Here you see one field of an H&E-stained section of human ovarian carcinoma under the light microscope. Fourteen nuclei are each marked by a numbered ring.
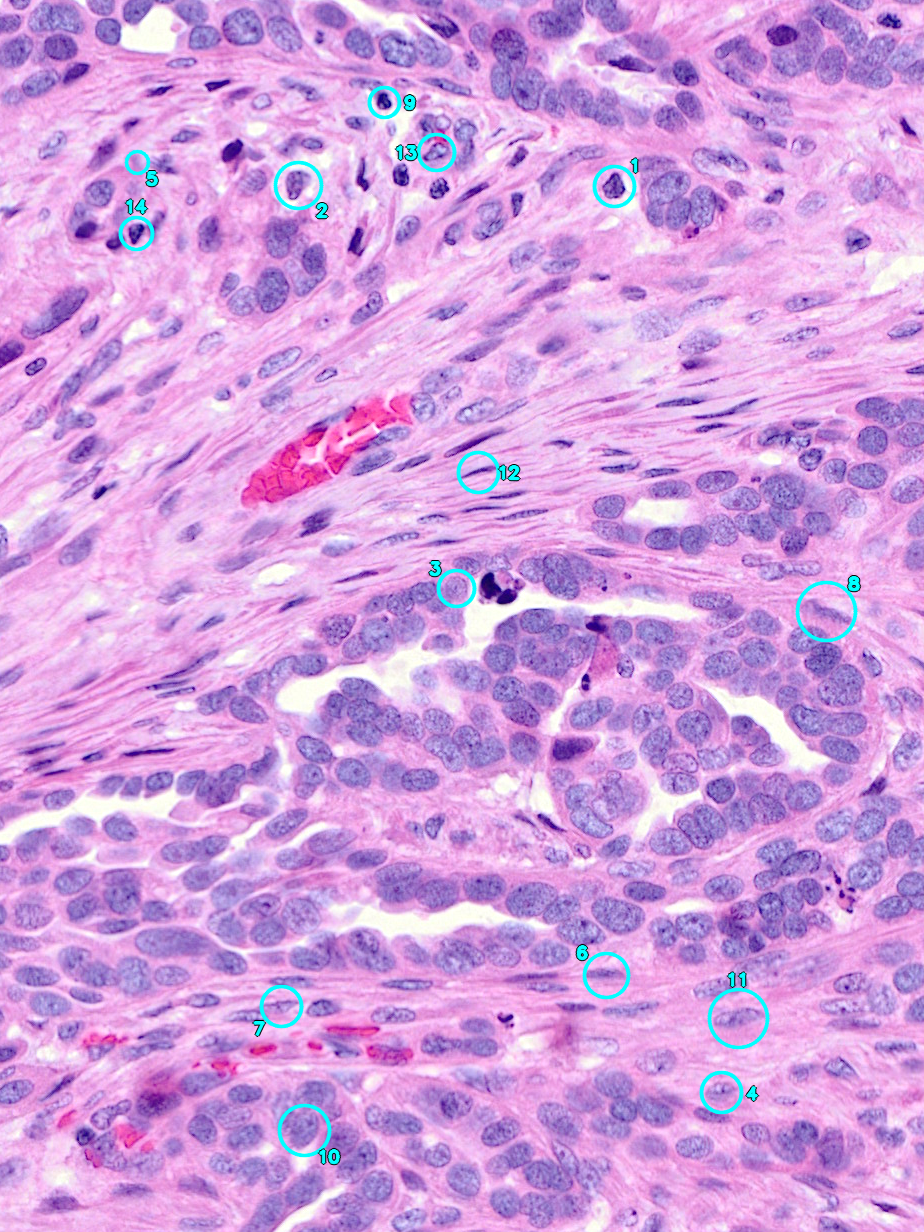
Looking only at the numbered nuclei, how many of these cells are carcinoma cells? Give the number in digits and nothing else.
2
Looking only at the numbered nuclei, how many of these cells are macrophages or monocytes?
1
